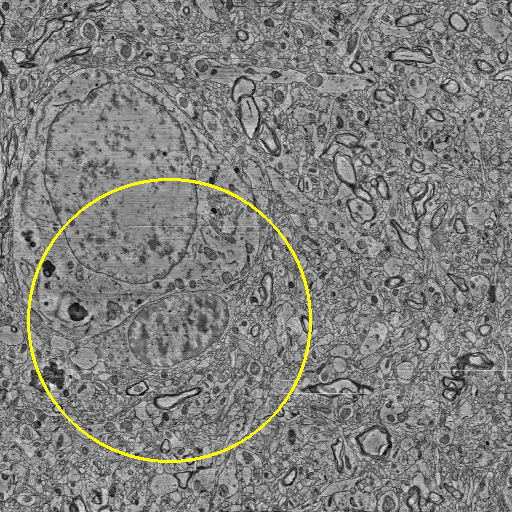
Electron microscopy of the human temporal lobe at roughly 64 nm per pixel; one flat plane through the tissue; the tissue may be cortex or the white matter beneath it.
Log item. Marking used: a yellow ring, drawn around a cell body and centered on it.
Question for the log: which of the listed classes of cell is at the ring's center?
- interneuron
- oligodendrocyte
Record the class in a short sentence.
At the center of the ring lies an oligodendrocyte.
